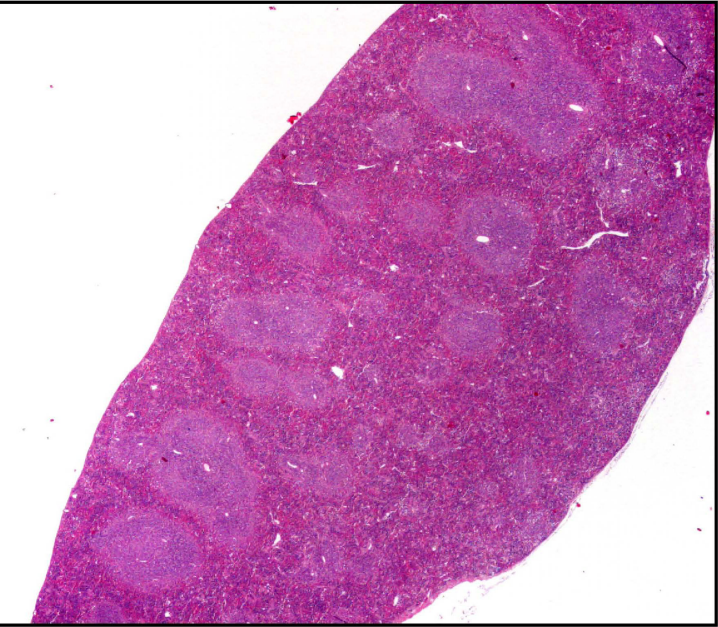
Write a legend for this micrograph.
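This low-power view of spleen shows white pulp follicles that are large and broad, with hyperplasia of the folliculi. The follicles are paler purple, take up much of the section, and some have a small central vessel.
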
